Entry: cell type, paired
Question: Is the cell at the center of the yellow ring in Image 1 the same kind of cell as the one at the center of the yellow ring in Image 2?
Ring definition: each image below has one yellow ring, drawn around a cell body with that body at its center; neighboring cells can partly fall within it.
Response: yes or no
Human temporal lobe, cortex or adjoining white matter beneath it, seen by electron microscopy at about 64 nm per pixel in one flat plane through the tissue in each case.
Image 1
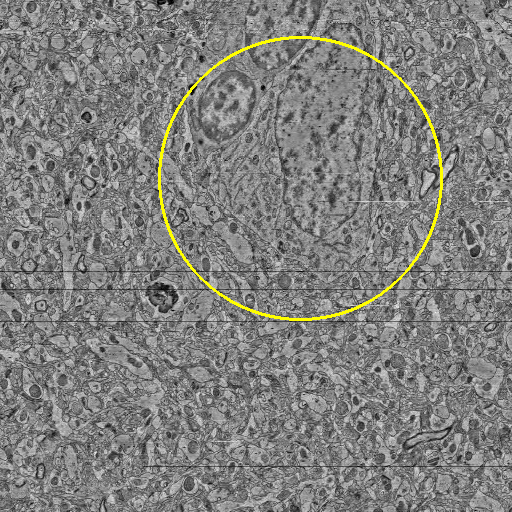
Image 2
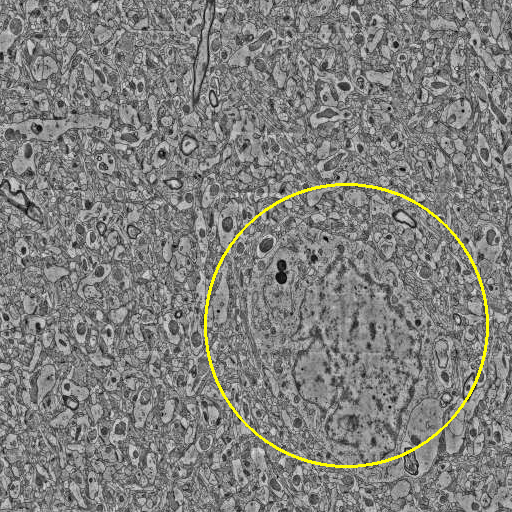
yes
